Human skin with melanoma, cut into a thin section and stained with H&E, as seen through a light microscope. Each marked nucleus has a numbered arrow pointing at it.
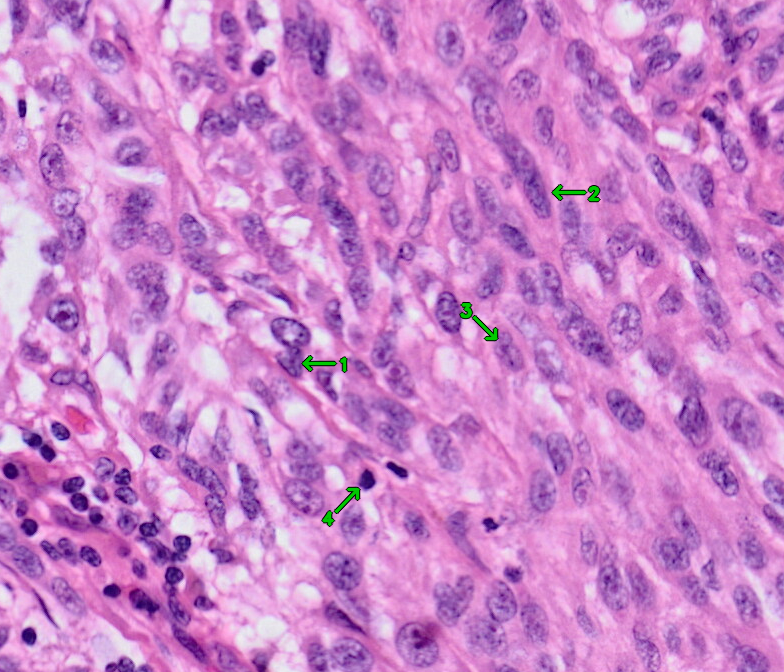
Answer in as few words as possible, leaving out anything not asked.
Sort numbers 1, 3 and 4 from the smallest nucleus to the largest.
4, 1, 3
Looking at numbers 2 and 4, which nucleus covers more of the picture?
2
